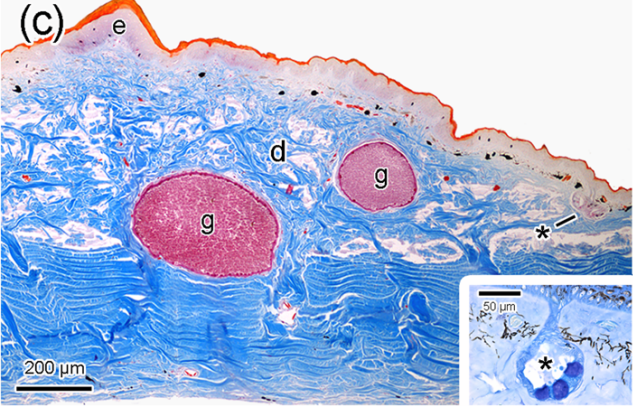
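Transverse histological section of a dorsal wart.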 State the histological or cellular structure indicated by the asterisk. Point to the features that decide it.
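The asterisk marks a small rounded gland just beneath the epidermis. In the inset, a small alveolus with a lumen and dark blue-stained cells at its base. So: a mucous gland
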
